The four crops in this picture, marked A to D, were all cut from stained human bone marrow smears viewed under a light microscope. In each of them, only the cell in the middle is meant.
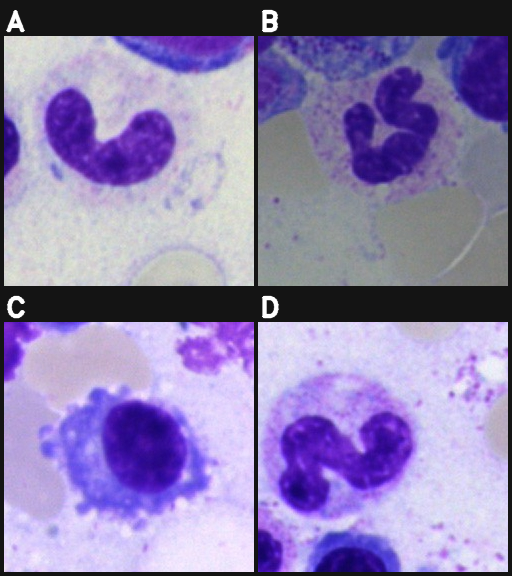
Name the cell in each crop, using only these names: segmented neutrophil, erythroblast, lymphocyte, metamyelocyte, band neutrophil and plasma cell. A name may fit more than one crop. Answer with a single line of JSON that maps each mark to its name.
{"A": "band neutrophil", "B": "segmented neutrophil", "C": "plasma cell", "D": "segmented neutrophil"}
